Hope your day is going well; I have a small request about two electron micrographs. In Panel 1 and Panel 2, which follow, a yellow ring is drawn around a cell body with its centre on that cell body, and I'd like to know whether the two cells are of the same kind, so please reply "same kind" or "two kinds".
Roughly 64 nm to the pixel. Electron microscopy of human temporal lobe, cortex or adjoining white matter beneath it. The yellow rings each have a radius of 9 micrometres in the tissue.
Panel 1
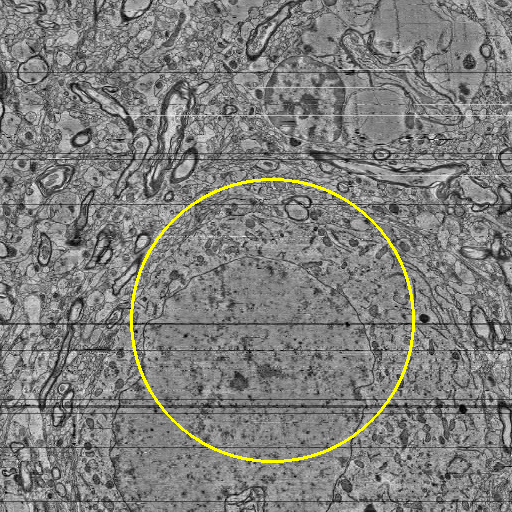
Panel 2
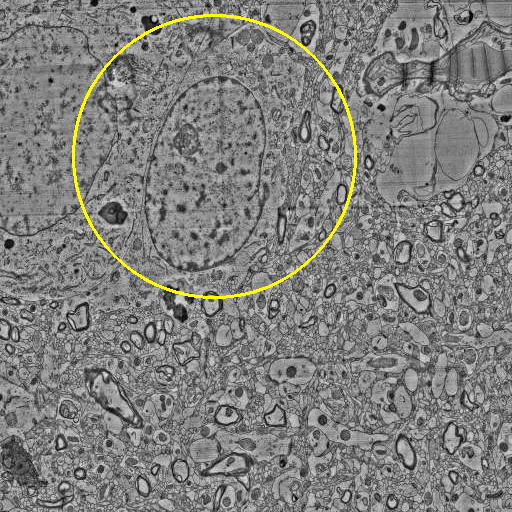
two kinds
